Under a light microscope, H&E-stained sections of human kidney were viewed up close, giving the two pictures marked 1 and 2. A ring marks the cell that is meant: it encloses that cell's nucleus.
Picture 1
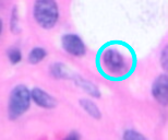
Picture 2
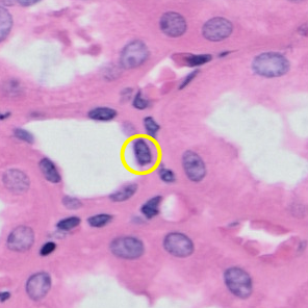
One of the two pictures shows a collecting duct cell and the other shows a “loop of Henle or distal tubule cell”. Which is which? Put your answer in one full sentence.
In picture 1 the cell is a collecting duct cell; in picture 2, a “loop of Henle or distal tubule cell”.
